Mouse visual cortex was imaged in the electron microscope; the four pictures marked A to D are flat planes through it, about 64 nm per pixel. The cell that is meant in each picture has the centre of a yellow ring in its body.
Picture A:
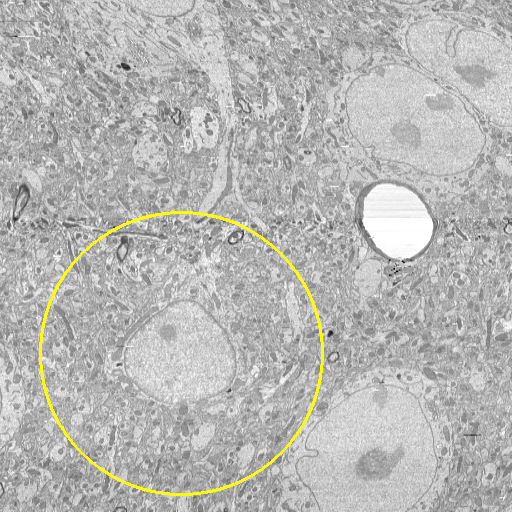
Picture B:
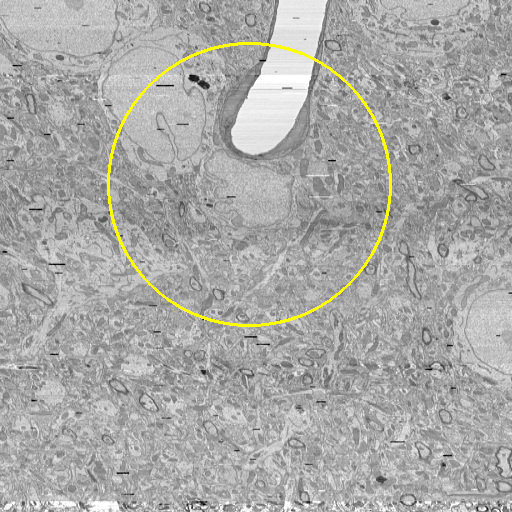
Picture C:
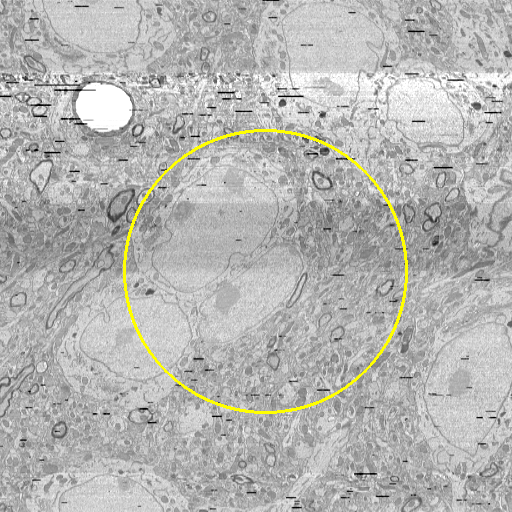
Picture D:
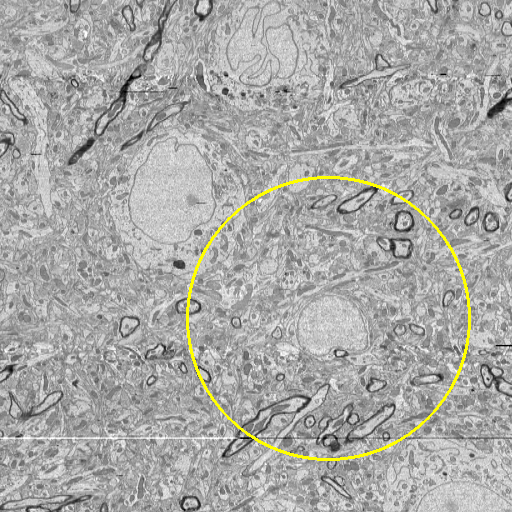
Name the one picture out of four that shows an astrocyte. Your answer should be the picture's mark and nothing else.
A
